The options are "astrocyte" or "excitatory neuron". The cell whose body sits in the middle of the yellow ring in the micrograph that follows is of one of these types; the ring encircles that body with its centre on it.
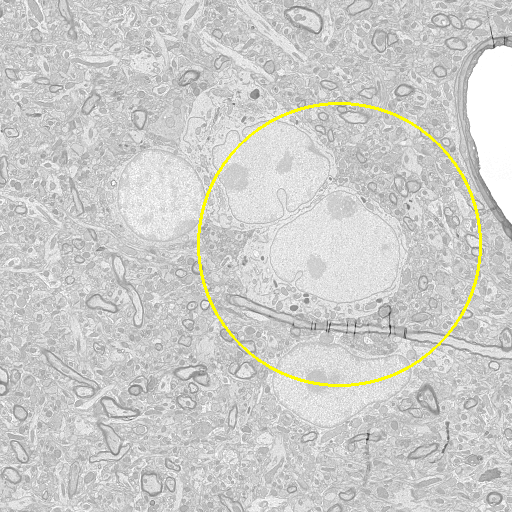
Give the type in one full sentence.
Going by the micrograph, the cell centred in the yellow ring is an excitatory neuron.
